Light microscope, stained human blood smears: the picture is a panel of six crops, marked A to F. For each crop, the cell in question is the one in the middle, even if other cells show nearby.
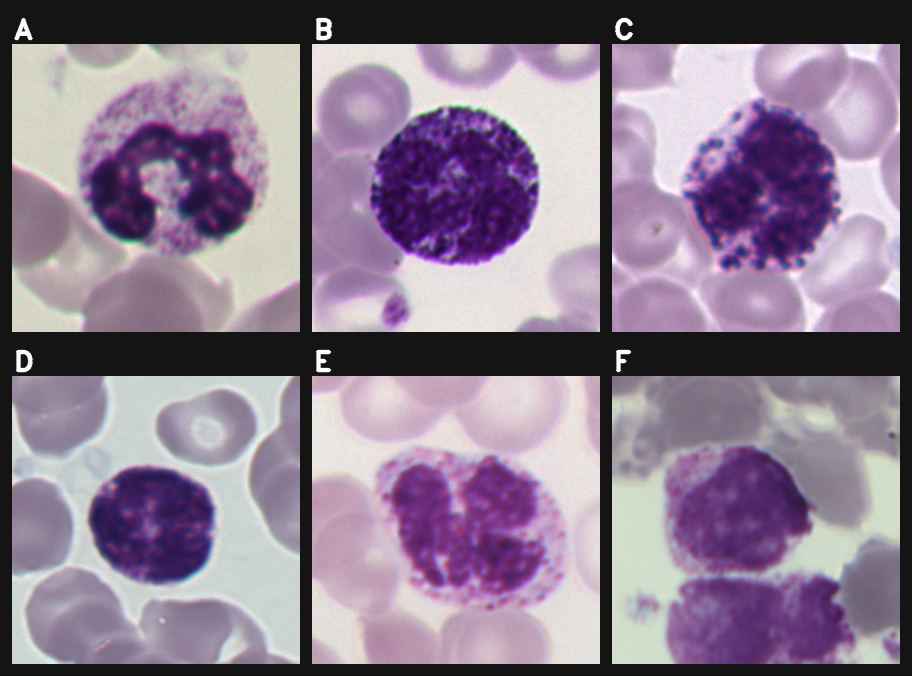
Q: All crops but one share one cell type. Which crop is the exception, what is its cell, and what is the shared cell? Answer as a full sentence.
Of the crops, all show basophils save crop A, which shows a neutrophil.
